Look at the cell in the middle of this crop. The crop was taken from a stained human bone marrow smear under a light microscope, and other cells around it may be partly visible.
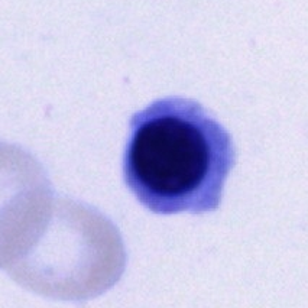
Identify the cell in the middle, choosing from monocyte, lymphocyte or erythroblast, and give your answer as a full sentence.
The centered cell in this crop is an erythroblast.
